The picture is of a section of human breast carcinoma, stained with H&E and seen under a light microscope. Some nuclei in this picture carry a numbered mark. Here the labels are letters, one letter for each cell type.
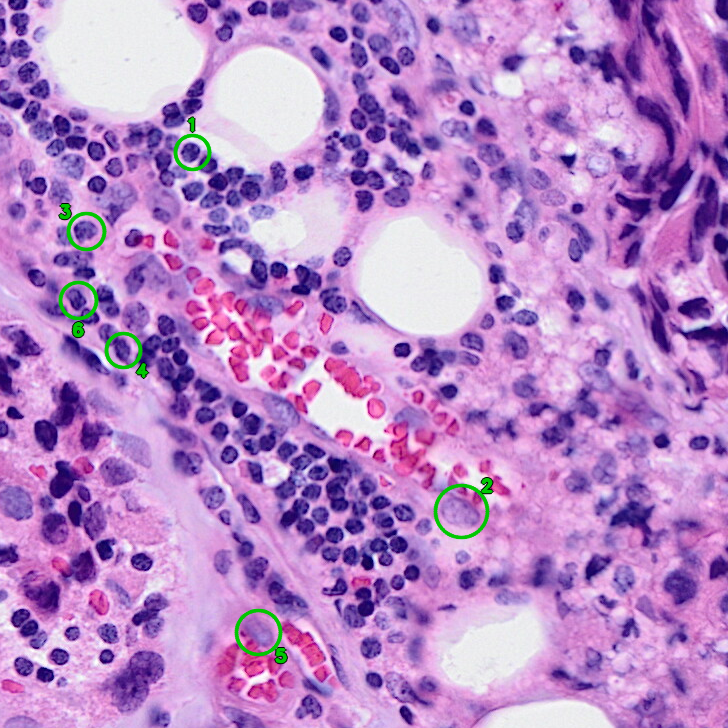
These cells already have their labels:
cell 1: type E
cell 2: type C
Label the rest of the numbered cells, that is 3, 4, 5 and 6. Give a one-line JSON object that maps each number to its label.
{"3": "type E", "4": "type E", "5": "type C", "6": "type E"}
